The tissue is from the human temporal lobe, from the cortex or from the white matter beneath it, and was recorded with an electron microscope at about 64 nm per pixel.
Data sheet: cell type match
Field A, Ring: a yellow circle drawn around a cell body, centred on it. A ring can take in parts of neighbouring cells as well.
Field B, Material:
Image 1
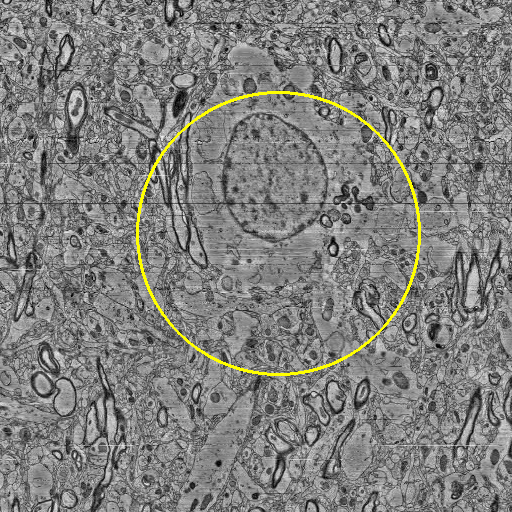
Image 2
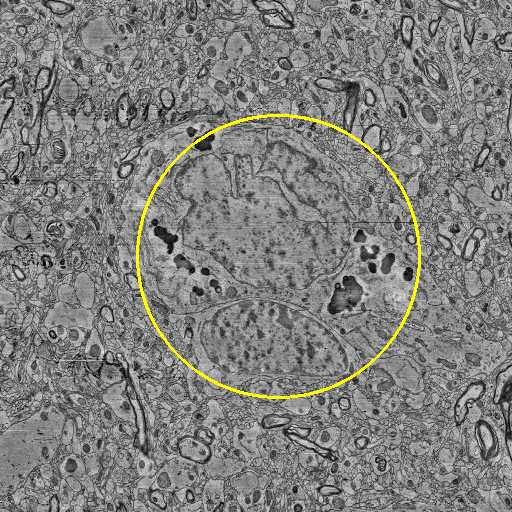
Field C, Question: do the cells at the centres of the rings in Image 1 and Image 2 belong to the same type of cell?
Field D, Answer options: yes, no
no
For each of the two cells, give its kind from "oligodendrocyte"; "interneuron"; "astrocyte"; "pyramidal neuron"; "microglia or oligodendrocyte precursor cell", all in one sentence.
The first picture has an astrocyte in its ring, the second has an interneuron.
